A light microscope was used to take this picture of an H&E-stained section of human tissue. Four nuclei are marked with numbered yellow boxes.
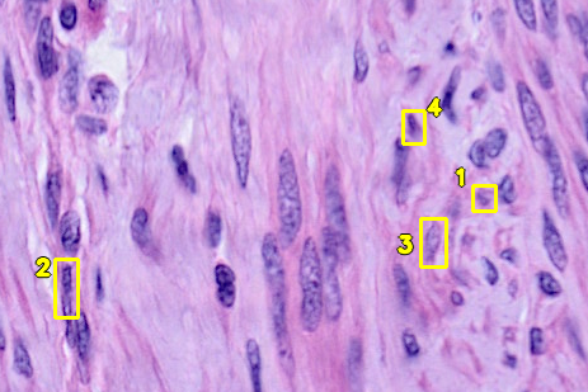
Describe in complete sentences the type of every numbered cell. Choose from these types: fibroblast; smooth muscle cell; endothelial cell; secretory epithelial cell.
Cells 1, 3 and 4 are smooth muscle cells. Cell 2 is an endothelial cell.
